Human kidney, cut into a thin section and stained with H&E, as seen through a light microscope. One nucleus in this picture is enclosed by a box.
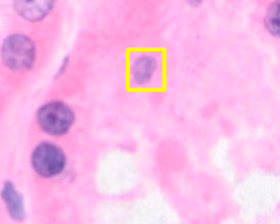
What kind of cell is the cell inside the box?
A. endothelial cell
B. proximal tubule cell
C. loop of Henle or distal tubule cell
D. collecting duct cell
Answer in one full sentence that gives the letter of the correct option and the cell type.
On this slide, the cell inside the box is a proximal tubule cell, so option B is right.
